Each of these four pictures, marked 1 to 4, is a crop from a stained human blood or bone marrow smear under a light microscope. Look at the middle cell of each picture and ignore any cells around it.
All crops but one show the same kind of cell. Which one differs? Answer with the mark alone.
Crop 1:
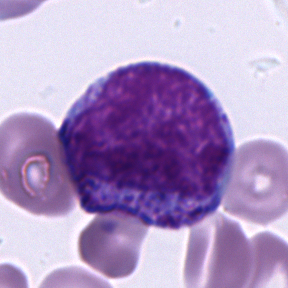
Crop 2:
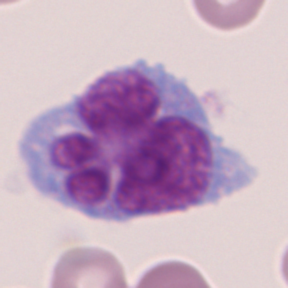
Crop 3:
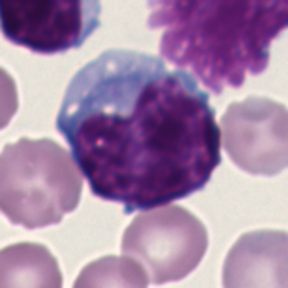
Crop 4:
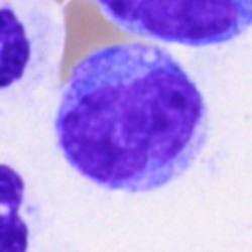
1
